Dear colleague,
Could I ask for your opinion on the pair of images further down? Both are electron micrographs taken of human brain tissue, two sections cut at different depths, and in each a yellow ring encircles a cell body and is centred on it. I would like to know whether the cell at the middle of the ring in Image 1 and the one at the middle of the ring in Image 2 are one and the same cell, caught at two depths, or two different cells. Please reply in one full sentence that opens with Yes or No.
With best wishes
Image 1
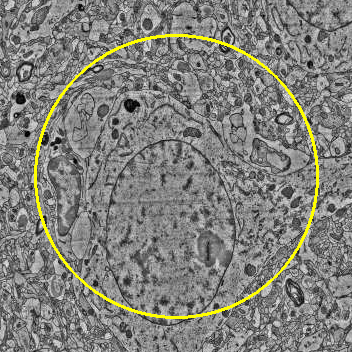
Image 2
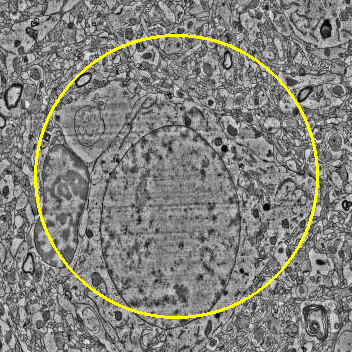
Yes, a single cell is the subject of both yellow rings.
